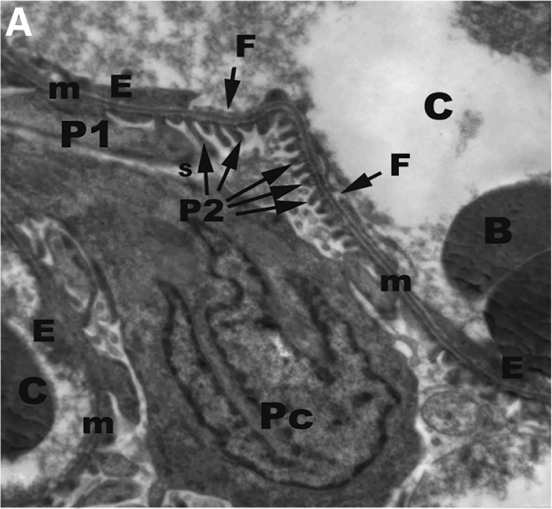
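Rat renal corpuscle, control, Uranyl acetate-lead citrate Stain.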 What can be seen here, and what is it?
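Here we look at the filtration barrier of a glomerulus. At the centre lies a podocyte, a large cell whose nucleus is deeply folded and lobulated, with chromatin condensed along the nuclear envelope. From this cell, thicker primary processes branch into a neat, regular row of small foot processes that sit like comb teeth on a continuous, even basement membrane. Narrow slits separate the foot processes. On the other side of the membrane a thin, attenuated endothelial lining borders the pale capillary lumen, and dense, rounded blood cells without nuclei lie within neighbouring capillaries. Pale spaces between processes belong to the capsular space.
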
